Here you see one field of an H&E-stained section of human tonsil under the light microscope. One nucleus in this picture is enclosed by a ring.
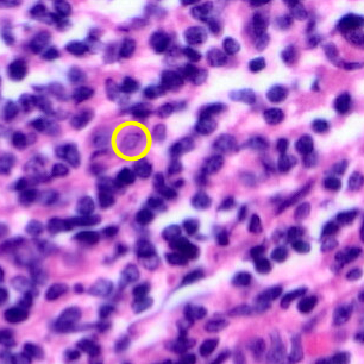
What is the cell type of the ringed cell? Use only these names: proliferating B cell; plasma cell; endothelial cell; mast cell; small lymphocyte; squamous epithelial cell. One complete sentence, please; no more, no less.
In the tissue under study, the ringed cell is an endothelial cell.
